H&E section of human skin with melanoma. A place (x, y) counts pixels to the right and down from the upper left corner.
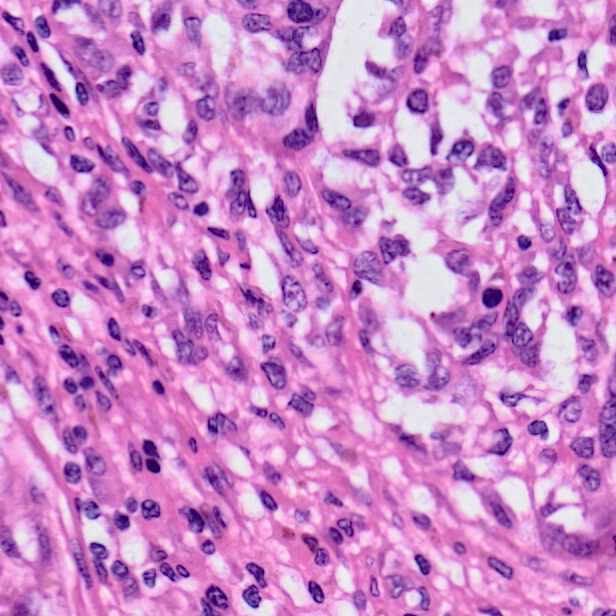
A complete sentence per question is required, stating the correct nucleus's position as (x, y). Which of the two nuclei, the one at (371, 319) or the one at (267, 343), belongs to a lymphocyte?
Answering which nucleus it is: the one at (267, 343), belonging to a lymphocyte.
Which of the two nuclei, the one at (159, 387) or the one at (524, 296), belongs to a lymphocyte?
The nucleus belonging to a lymphocyte is the one at (159, 387).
